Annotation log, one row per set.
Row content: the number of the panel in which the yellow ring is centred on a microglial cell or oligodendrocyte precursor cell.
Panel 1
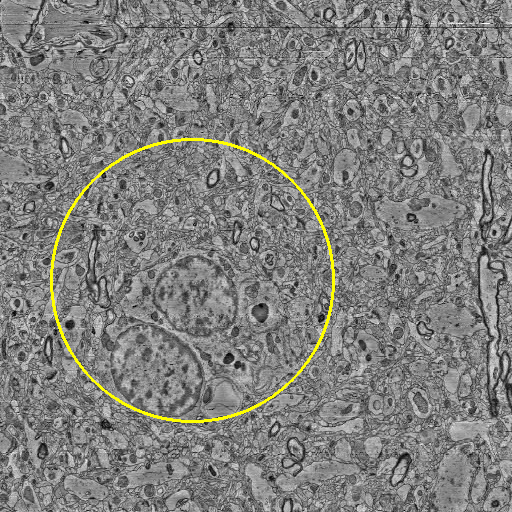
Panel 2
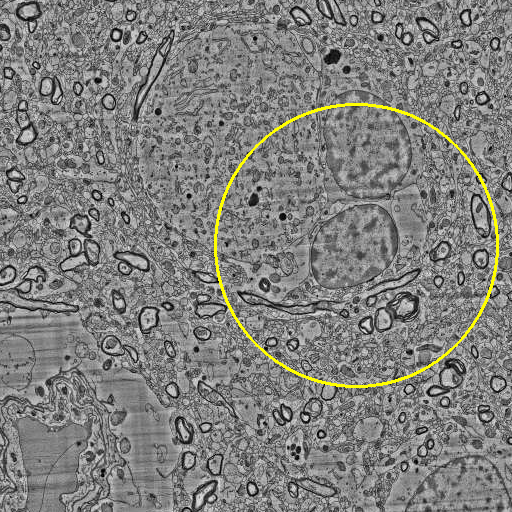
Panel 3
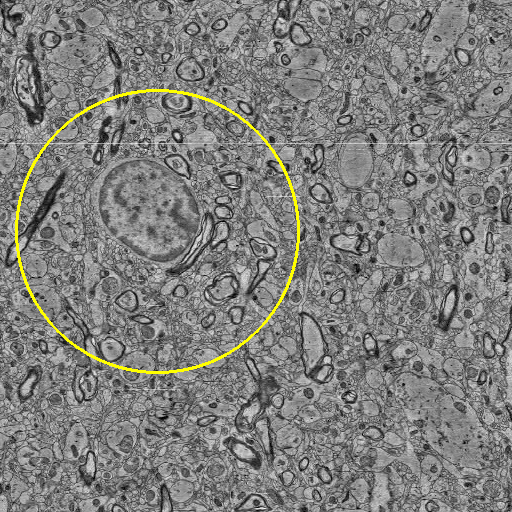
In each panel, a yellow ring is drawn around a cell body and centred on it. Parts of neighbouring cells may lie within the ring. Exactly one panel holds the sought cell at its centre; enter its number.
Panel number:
2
